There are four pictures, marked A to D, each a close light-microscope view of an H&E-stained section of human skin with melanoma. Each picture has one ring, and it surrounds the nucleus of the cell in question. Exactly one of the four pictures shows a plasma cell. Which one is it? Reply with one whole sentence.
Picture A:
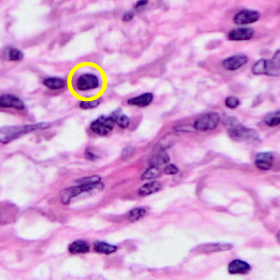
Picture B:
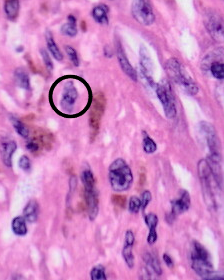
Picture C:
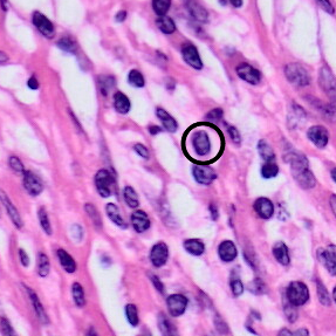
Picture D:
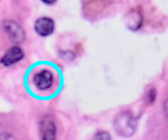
The picture with the plasma cell is A.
